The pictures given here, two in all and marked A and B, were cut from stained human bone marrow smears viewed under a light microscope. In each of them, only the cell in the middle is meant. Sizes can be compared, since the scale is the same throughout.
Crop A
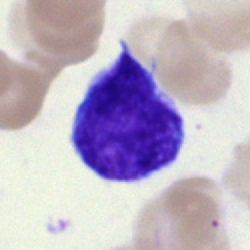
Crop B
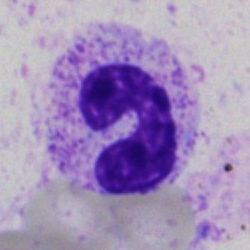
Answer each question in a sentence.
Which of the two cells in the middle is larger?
Crop B holds the larger cell; it covers about 2 times the area of the cell in crop A.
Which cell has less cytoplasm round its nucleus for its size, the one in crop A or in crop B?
Of the two, the nucleus in crop A makes up the greater part of its cell.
